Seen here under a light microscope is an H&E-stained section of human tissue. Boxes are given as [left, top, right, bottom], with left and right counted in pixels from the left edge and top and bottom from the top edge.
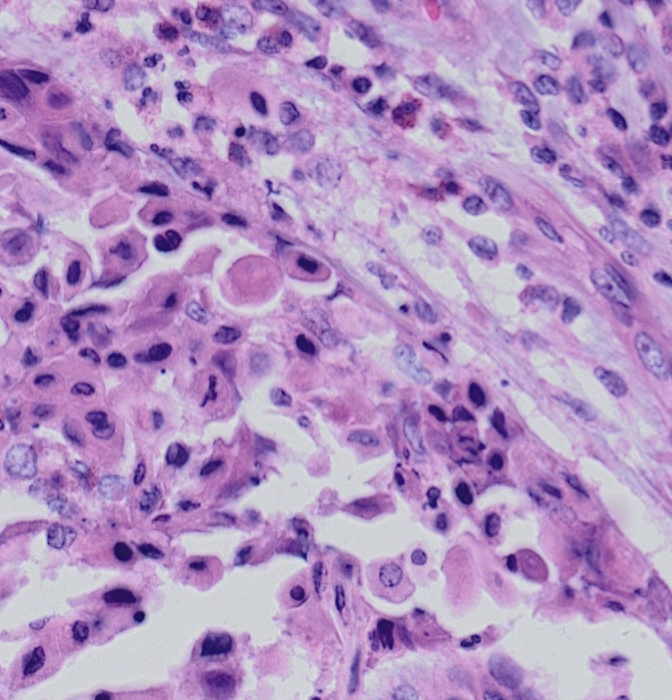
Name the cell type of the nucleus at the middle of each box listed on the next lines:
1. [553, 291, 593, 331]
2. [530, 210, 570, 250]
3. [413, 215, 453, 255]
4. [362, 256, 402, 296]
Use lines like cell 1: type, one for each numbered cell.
cell 1: lymphocyte
cell 2: endothelial cell
cell 3: fibroblast
cell 4: fibroblast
